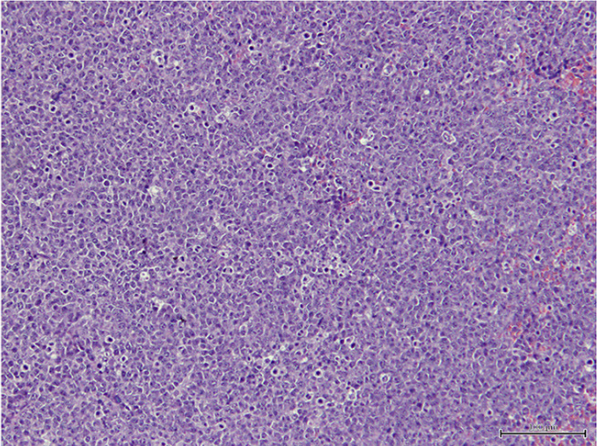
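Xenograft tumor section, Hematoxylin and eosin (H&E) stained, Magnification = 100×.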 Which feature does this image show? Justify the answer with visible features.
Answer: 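A dense, uniform sheet of dark tumor cells fills the field. The answer: starry-sky pattern.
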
